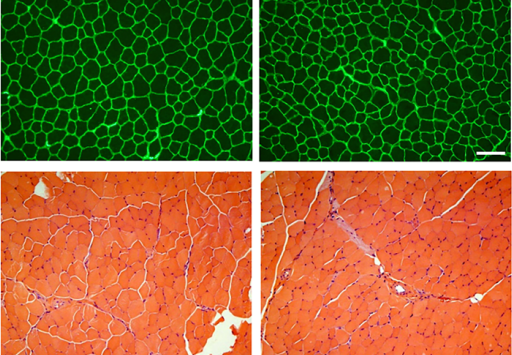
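Cross-sections of skeletal muscle show tightly packed, polygonal muscle fibers of varying size. In the fluorescence images, thin green outlines trace the border of every fiber against a dark interior, forming an even mosaic. Thin pale clefts and a few strands of connective tissue run between groups of fibers.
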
